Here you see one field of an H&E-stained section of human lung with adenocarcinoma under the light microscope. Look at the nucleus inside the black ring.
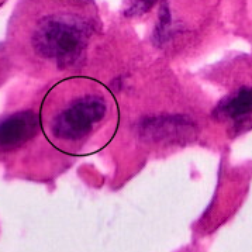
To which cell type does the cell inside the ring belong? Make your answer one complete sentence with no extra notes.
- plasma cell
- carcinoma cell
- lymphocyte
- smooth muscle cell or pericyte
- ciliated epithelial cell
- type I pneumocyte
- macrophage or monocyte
The expected answer is simply that the cell inside the ring is a carcinoma cell.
